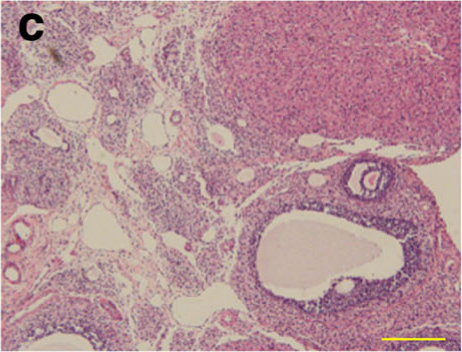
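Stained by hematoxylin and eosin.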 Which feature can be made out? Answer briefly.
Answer: Follicles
